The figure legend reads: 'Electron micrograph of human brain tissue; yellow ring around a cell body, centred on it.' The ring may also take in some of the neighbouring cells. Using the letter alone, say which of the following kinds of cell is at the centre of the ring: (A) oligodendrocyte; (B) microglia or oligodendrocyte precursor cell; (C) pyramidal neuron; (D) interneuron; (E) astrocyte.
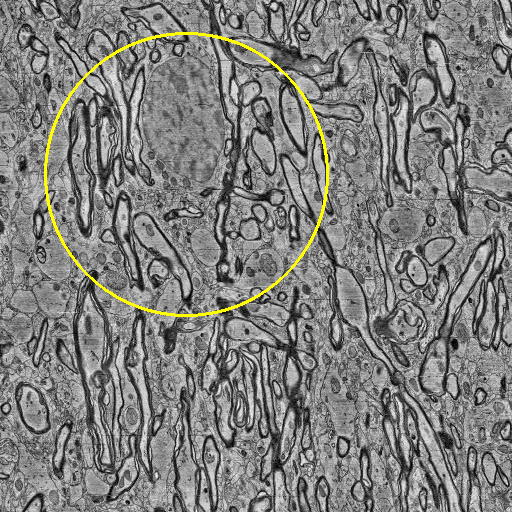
A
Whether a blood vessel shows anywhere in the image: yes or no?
No, none is visible.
